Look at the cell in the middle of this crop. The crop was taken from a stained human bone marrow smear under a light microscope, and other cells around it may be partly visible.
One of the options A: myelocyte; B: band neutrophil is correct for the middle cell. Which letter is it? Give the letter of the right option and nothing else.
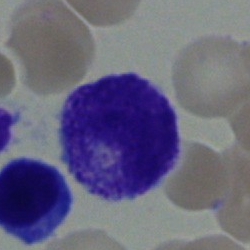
A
